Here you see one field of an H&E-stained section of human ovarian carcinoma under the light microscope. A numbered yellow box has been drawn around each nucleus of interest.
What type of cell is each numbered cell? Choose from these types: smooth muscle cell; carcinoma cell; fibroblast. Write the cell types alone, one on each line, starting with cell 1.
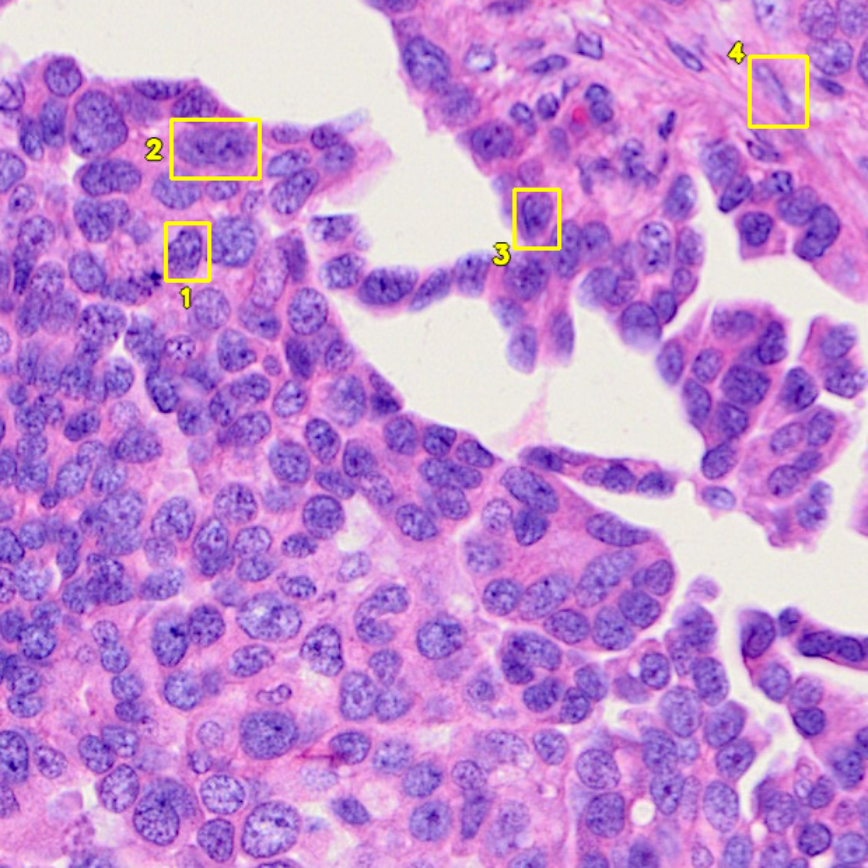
carcinoma cell
carcinoma cell
carcinoma cell
fibroblast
